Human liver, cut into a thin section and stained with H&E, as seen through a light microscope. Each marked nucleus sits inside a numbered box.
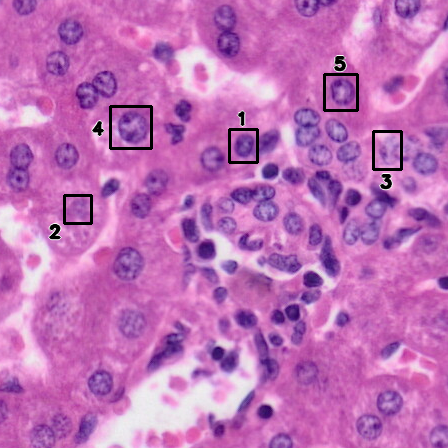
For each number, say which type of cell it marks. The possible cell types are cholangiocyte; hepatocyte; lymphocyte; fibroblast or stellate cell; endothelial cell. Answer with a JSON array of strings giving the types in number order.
["cholangiocyte", "hepatocyte", "cholangiocyte", "hepatocyte", "hepatocyte"]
